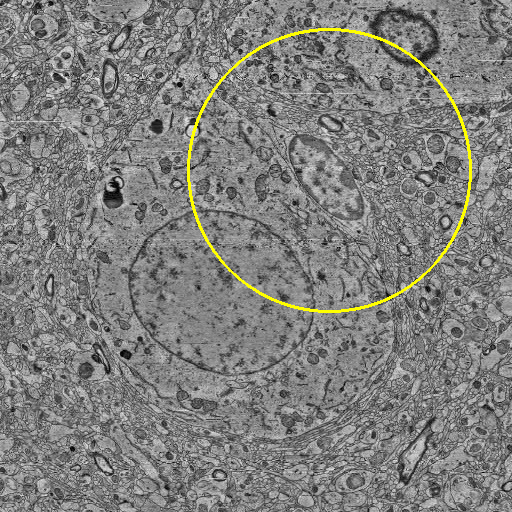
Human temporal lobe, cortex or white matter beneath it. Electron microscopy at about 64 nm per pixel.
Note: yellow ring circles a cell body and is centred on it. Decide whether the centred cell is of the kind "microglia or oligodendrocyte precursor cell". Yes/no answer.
Yes, the centred cell is of that kind.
